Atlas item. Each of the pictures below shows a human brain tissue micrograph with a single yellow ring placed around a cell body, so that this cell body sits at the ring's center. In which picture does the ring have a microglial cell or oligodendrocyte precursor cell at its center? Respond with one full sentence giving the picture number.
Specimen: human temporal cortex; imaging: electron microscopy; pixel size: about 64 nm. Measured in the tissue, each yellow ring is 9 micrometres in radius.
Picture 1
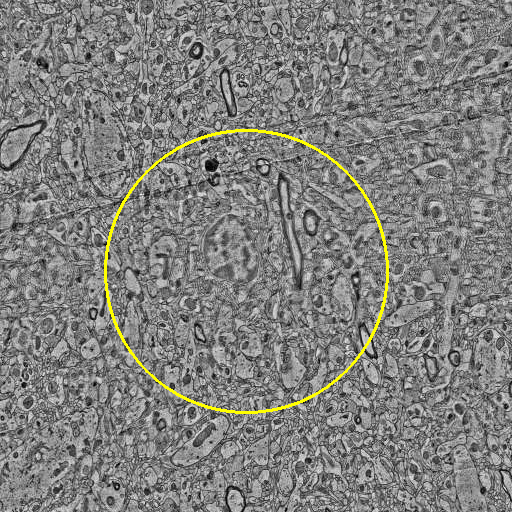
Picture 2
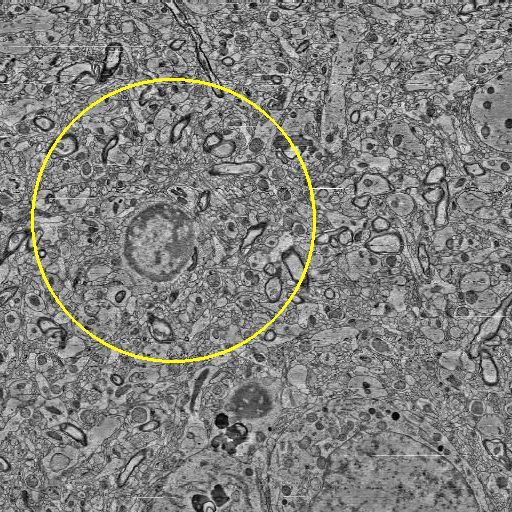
The cell at the ring's center that fits lies in picture 1.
